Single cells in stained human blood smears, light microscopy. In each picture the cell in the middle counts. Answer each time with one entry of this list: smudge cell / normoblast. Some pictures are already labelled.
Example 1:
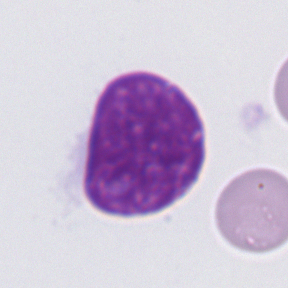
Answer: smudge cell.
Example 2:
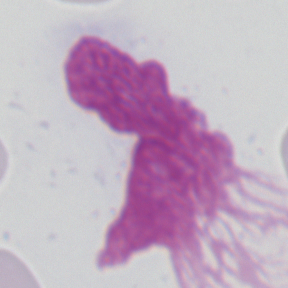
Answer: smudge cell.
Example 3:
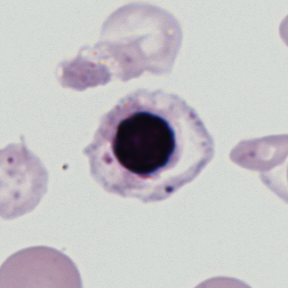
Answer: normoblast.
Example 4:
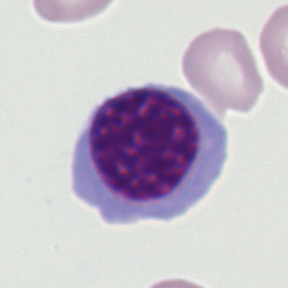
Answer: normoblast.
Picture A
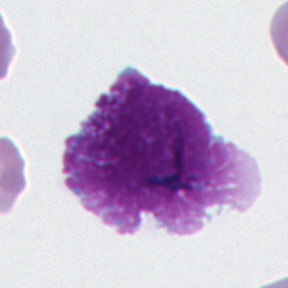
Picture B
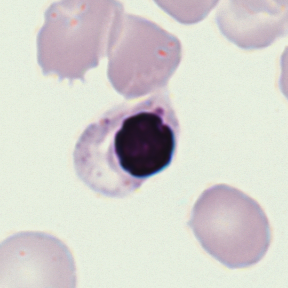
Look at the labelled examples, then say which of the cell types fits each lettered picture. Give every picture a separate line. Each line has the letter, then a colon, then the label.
A: smudge cell.
B: normoblast.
